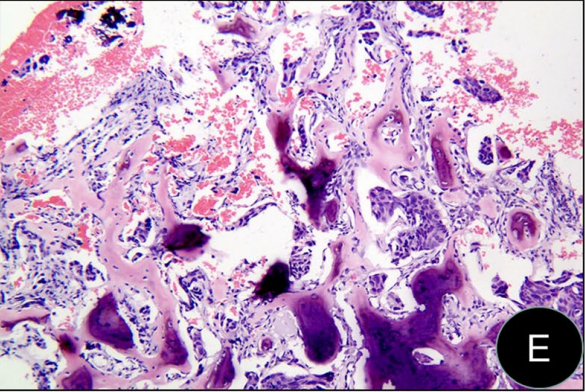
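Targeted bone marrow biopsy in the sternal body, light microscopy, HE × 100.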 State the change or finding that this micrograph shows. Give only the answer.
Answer: Nested distribution of tumour cells.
